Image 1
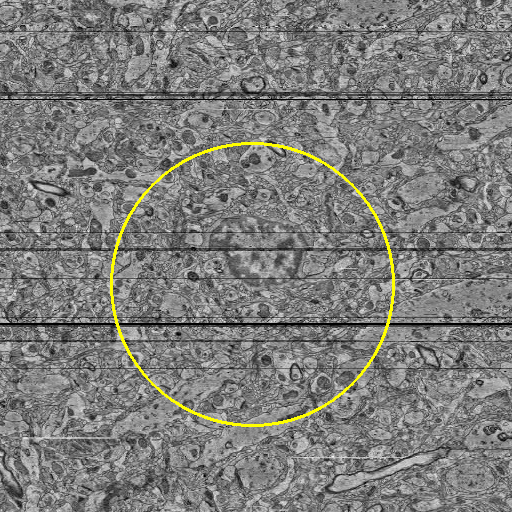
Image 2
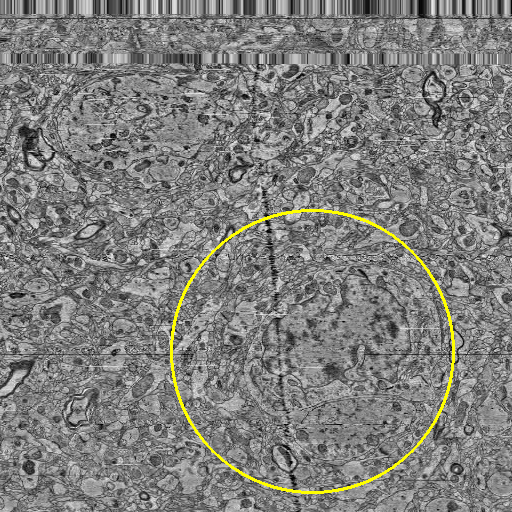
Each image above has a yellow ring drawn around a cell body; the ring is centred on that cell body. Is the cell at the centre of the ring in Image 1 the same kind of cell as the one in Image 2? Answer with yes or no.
no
